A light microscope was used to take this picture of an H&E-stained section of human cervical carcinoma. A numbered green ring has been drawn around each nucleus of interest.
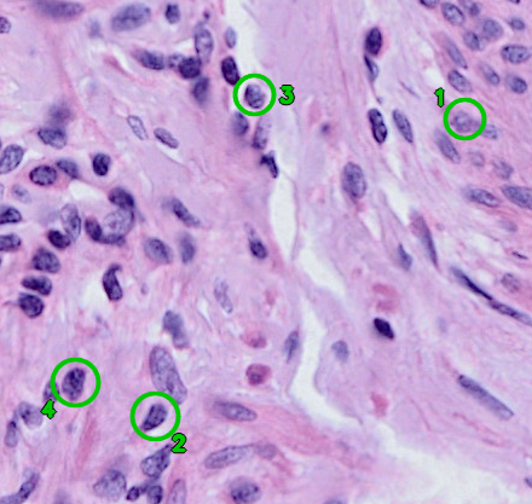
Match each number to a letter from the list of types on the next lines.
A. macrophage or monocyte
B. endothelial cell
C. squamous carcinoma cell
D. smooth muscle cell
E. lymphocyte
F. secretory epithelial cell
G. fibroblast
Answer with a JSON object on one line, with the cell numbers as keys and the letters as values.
{"1": "D", "2": "E", "3": "E", "4": "E"}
